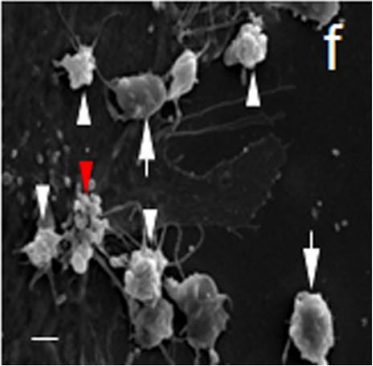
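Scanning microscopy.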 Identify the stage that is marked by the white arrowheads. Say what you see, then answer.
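The white arrowheads point to cells with irregular outlines and short projections.
Conclusion: activated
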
